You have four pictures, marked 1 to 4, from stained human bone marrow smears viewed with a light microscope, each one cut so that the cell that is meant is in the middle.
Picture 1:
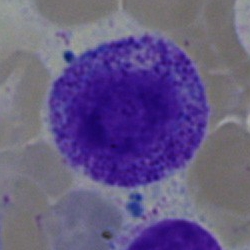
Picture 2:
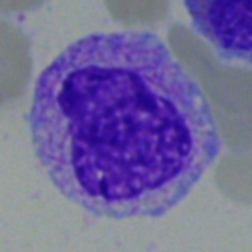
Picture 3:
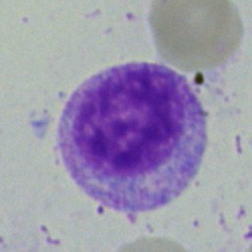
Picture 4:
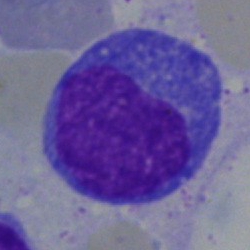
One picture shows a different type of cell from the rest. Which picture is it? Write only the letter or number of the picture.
4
